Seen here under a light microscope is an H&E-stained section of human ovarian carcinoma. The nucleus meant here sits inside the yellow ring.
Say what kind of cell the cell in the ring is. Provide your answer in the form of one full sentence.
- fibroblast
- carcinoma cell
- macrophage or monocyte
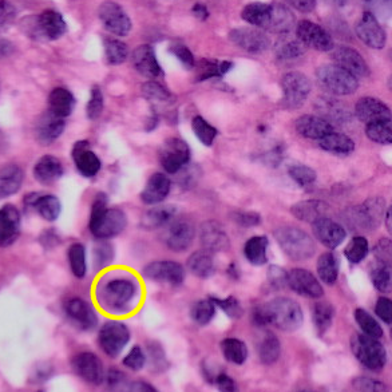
So far as cell type goes, the cell in the ring is a macrophage or monocyte.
